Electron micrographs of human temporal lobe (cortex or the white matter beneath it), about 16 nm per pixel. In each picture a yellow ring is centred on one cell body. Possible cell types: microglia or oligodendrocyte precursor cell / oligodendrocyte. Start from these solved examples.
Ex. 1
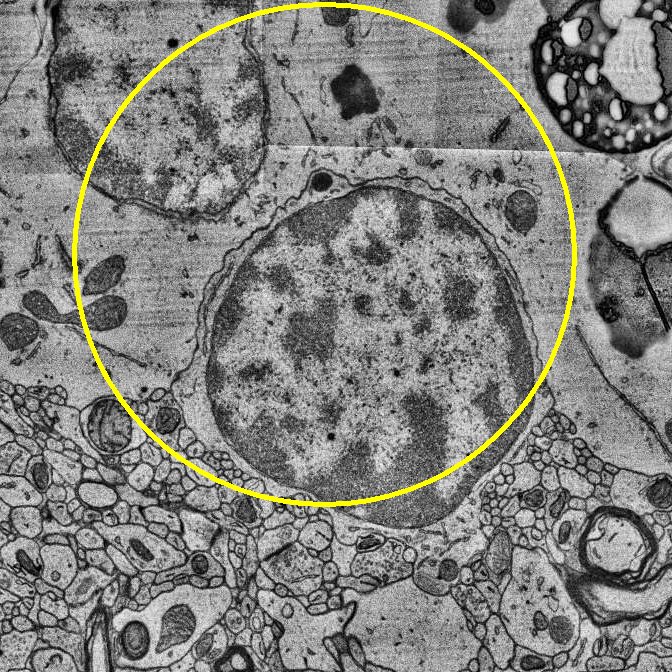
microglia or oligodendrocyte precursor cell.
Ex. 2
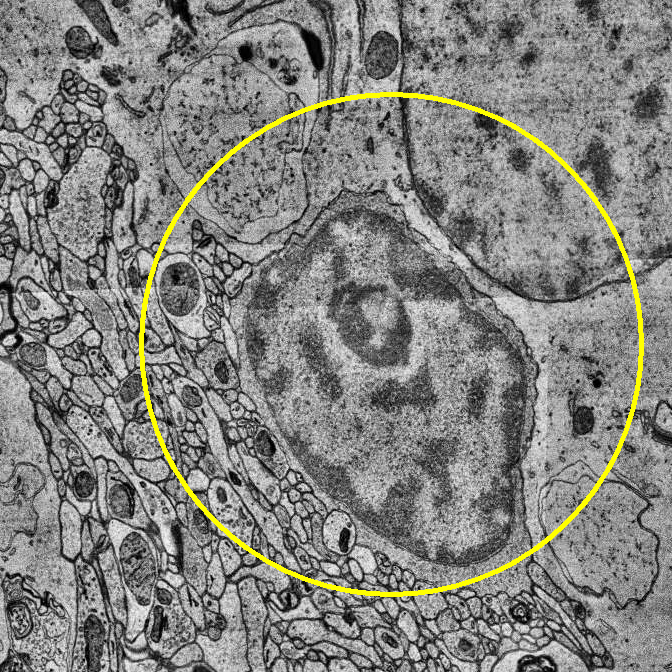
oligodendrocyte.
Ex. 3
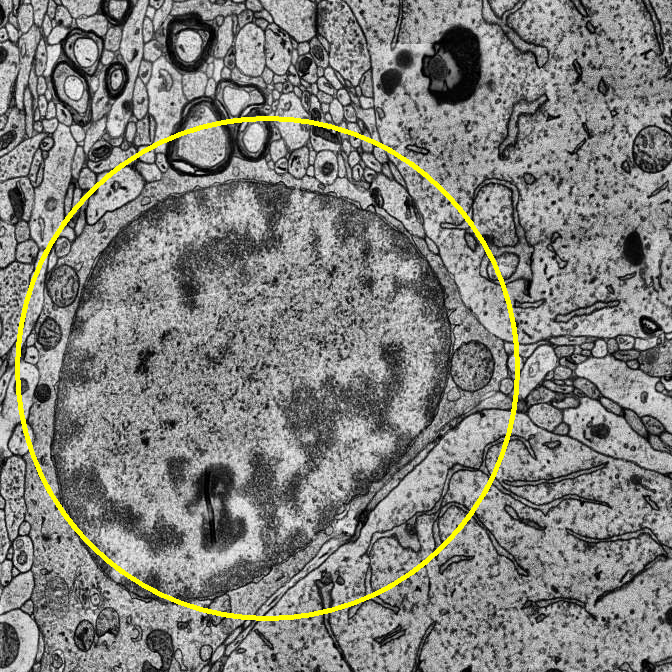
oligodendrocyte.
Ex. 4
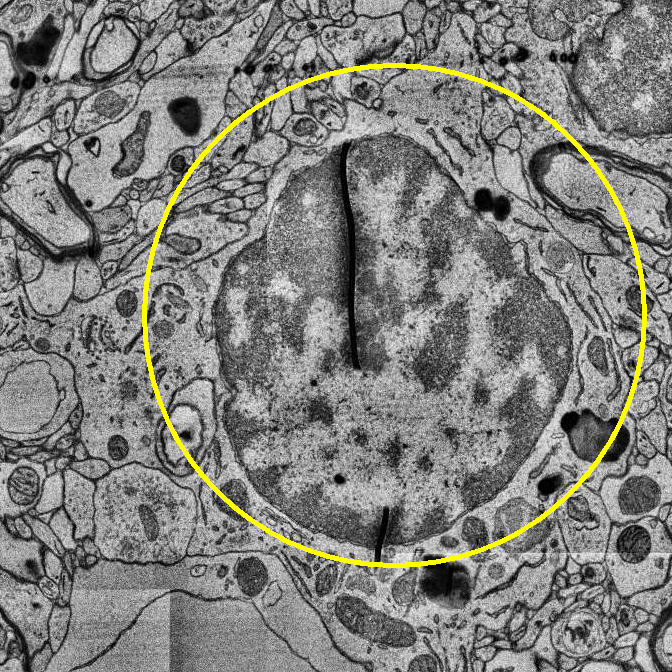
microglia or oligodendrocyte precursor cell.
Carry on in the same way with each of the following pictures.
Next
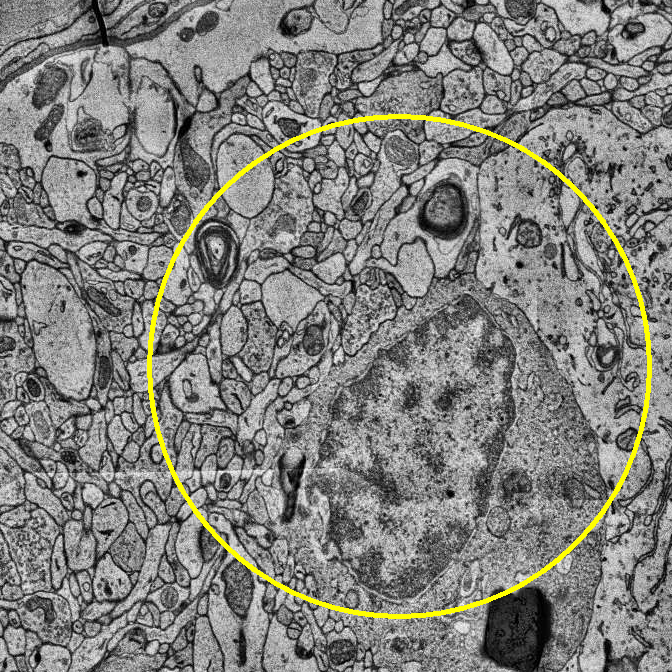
oligodendrocyte.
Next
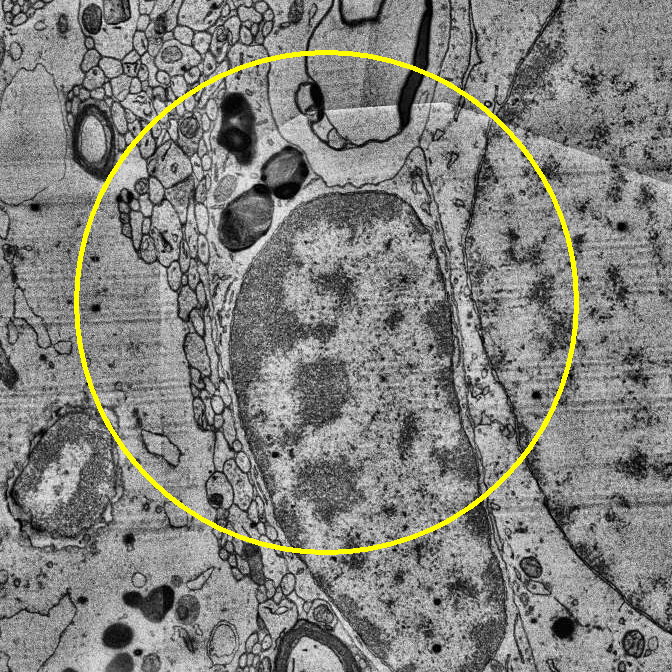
microglia or oligodendrocyte precursor cell.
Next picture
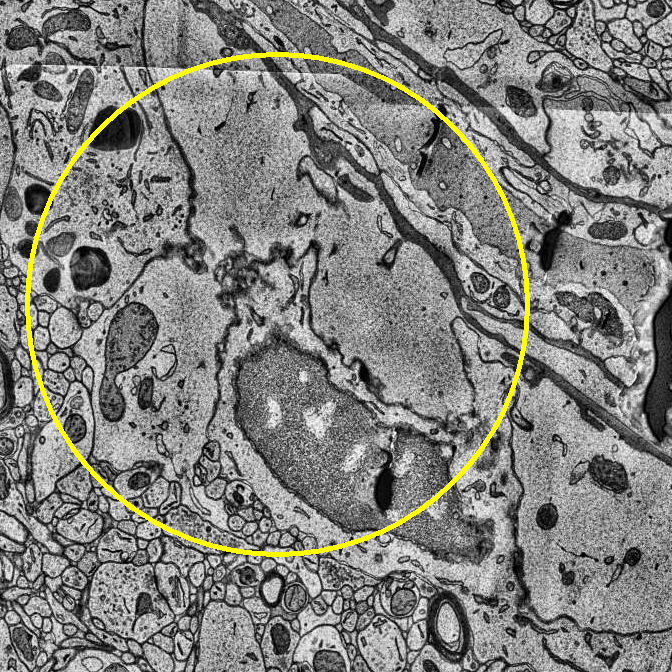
microglia or oligodendrocyte precursor cell.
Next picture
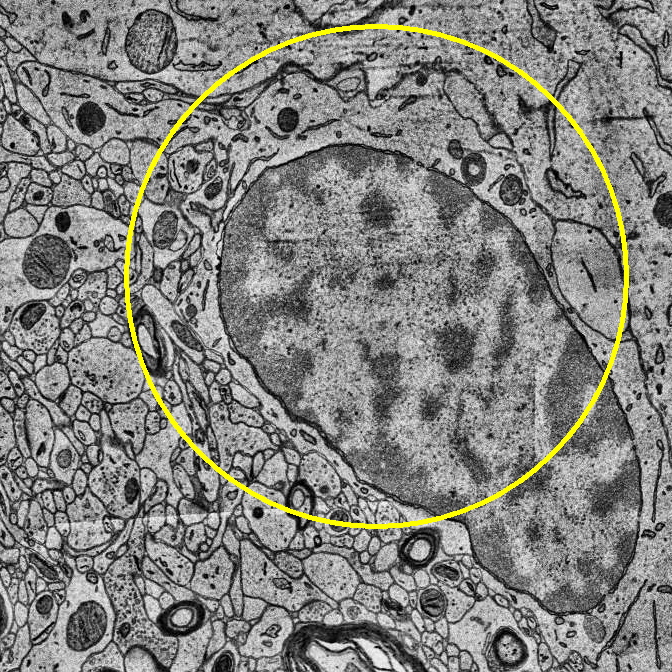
microglia or oligodendrocyte precursor cell.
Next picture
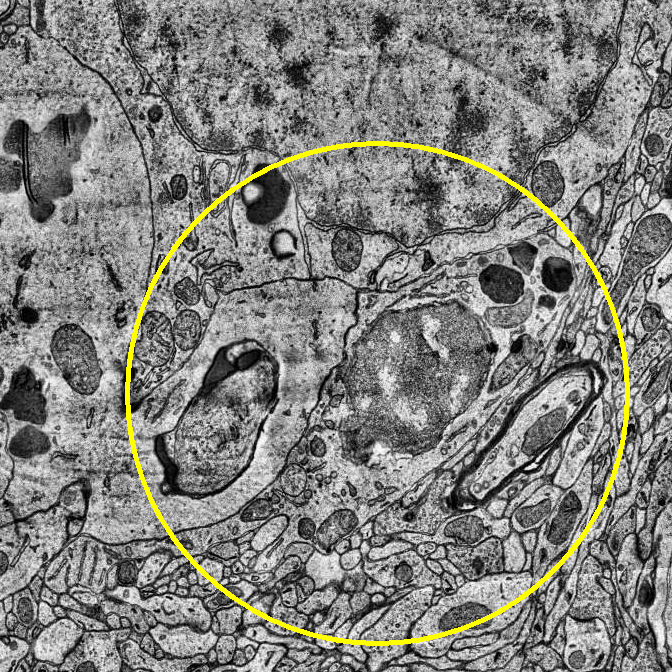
microglia or oligodendrocyte precursor cell.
